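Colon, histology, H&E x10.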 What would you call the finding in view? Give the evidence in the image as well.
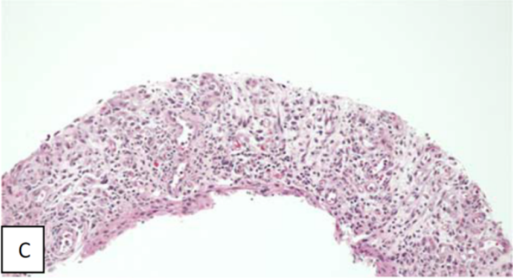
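No surface epithelial lining covers the mucosal strip. No crypts or glands are present. The strip consists of cellular stroma with small vessels and scattered nuclei.
Denuded mucosa.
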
